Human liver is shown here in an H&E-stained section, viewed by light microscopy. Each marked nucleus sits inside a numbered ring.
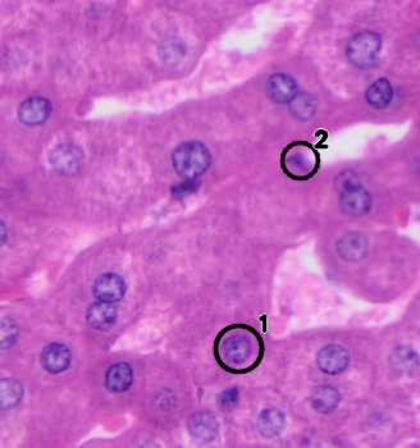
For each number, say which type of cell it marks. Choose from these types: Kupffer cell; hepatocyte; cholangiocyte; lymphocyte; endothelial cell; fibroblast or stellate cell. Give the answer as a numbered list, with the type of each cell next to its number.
1. hepatocyte
2. fibroblast or stellate cell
